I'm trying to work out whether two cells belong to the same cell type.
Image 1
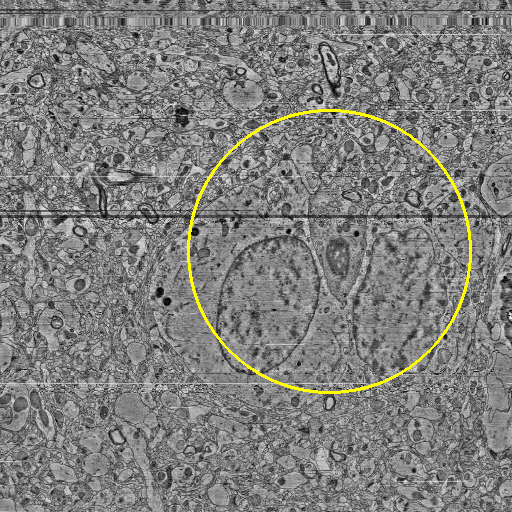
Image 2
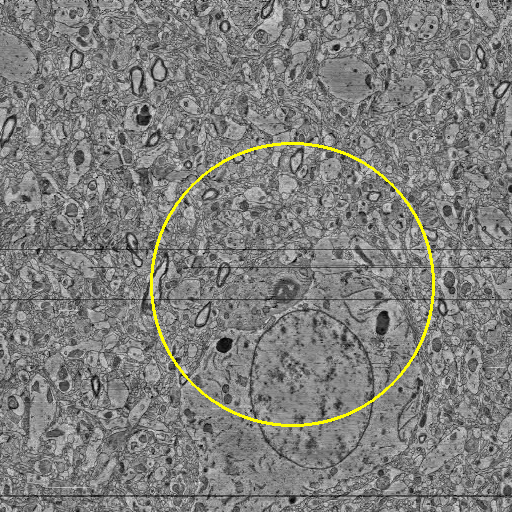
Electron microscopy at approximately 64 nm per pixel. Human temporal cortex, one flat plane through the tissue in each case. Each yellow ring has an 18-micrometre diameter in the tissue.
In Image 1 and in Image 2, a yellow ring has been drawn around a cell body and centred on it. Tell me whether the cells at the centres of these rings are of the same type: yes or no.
yes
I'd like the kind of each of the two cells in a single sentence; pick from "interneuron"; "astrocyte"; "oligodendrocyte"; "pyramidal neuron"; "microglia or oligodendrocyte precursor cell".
The first and the second cell are each an oligodendrocyte.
